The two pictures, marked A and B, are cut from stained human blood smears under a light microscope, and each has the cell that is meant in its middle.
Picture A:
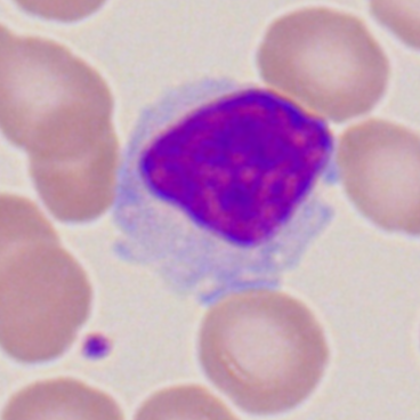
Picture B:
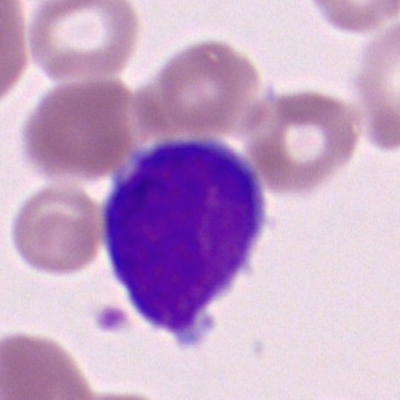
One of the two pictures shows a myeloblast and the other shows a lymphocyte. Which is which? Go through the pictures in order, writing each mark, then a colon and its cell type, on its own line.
A: lymphocyte
B: myeloblast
